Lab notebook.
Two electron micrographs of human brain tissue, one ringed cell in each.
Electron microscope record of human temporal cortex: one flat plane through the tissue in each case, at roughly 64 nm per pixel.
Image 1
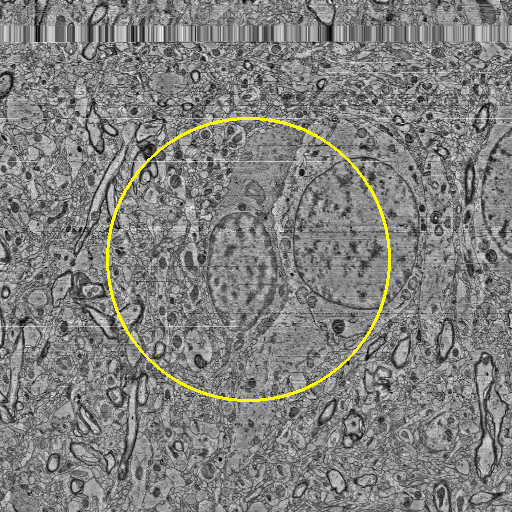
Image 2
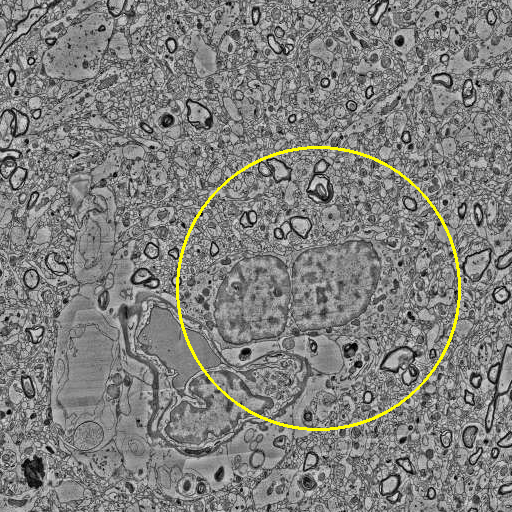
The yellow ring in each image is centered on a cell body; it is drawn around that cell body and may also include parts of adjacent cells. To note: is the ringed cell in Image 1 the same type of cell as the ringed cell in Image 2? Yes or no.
yes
